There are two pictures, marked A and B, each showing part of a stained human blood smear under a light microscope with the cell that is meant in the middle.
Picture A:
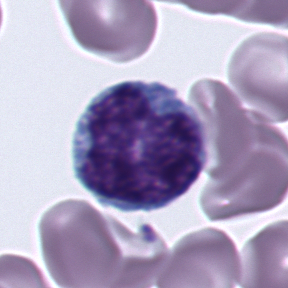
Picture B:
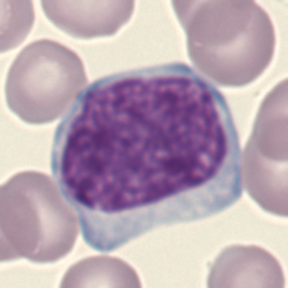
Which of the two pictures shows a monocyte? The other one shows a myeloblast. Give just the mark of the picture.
A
